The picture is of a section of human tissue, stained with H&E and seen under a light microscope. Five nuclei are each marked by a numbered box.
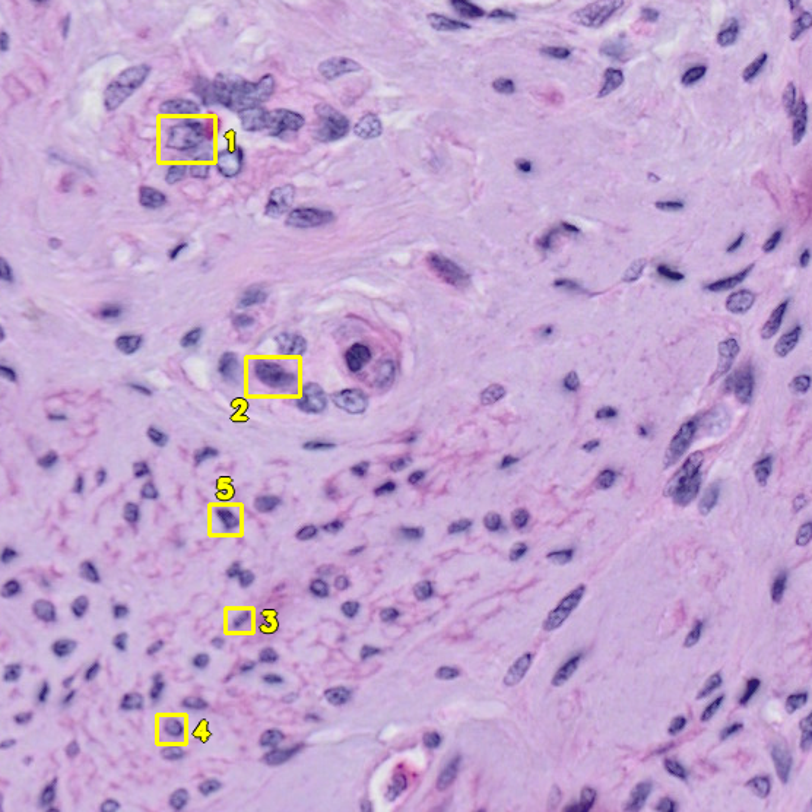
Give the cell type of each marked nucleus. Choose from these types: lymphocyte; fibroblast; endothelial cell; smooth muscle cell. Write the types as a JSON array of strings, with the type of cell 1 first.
["endothelial cell", "endothelial cell", "smooth muscle cell", "smooth muscle cell", "smooth muscle cell"]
